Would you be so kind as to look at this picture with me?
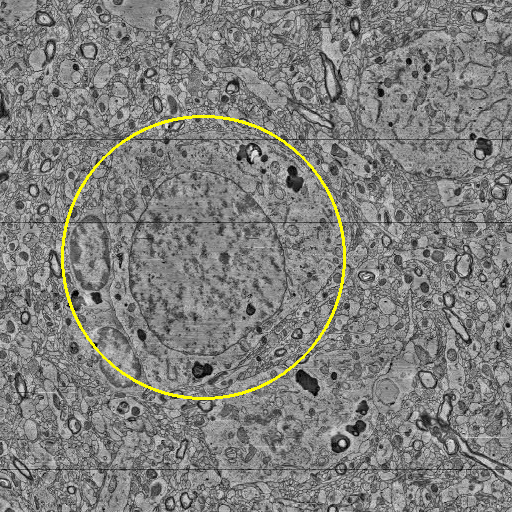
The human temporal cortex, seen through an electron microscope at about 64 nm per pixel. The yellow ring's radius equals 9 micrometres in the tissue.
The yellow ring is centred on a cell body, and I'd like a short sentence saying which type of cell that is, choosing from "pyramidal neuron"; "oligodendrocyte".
The cell body in the ring belongs to a pyramidal neuron.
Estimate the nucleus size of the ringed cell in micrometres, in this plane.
In this plane the nucleus measures roughly 12 by 10 micrometers.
